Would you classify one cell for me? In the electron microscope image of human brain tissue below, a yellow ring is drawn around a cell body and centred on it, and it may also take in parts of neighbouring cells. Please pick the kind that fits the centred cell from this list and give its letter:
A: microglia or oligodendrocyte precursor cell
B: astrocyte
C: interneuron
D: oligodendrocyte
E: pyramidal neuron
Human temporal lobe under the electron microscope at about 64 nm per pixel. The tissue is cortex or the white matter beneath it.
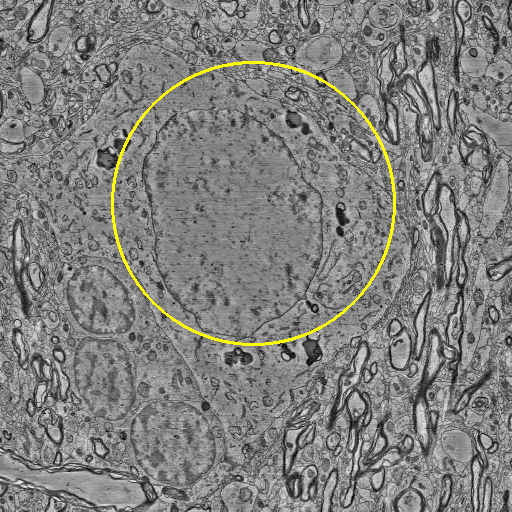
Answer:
E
